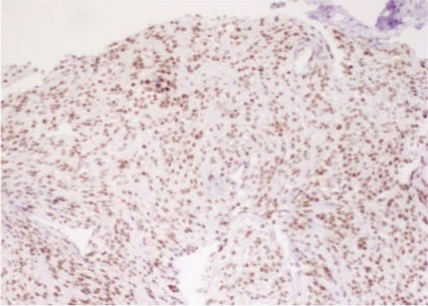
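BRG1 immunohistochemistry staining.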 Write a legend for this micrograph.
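A densely cellular tumor is shown in which most nuclei are stained brown, while the background and cytoplasm are pale bluish. The cells are arranged in loose sheets without any orderly layering. Thin, pale, slit-like spaces run through the tissue between groups of cells. At the upper right edge a small fragment of tissue with blue counterstain and little brown staining is seen.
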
